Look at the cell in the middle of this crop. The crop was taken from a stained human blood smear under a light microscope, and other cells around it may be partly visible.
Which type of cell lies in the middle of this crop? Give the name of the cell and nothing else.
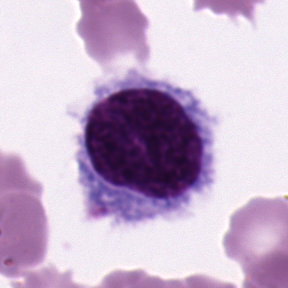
hairy cell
